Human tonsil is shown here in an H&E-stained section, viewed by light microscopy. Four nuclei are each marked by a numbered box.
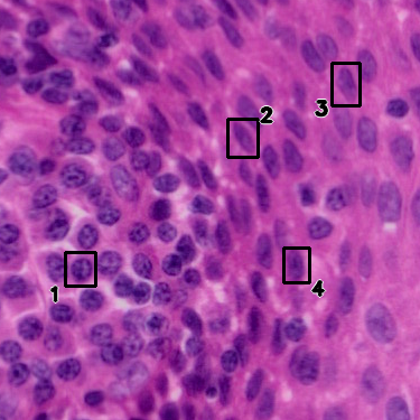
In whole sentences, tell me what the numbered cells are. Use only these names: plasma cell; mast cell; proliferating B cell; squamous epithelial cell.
Cell 1 is a plasma cell, cell 2 is a squamous epithelial cell, cell 3 is a squamous epithelial cell and cell 4 is a squamous epithelial cell.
